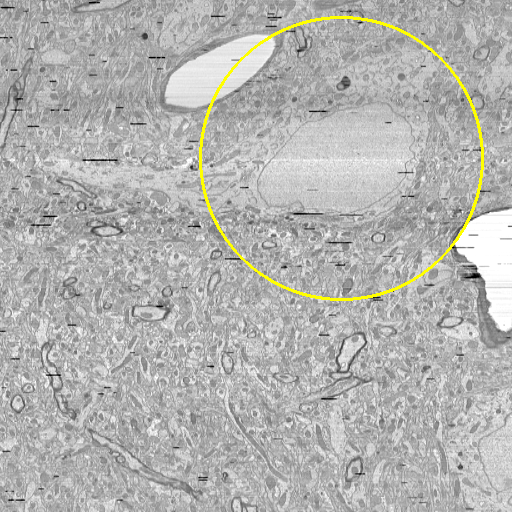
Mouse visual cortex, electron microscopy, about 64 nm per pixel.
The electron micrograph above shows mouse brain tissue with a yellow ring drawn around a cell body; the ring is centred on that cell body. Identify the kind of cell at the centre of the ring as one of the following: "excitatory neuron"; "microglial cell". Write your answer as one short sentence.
The cell at the centre of the ring is an excitatory neuron.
